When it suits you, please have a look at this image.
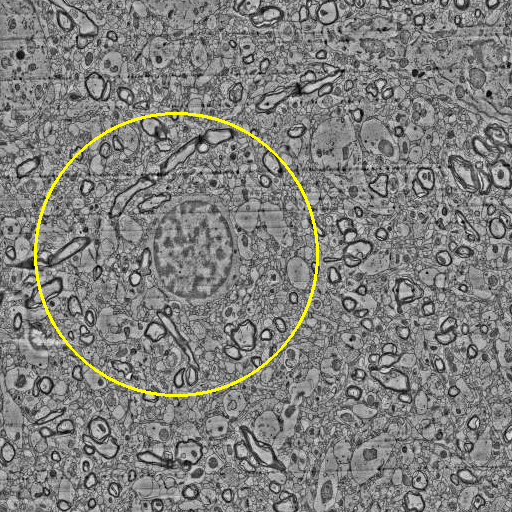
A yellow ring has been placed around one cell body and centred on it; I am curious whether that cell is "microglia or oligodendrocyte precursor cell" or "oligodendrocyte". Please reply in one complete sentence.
The ringed cell, an oligodendrocyte, has its body at the centre of the yellow ring.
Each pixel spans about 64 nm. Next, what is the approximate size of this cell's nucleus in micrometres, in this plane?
About 6 by 5 micrometres in this plane.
